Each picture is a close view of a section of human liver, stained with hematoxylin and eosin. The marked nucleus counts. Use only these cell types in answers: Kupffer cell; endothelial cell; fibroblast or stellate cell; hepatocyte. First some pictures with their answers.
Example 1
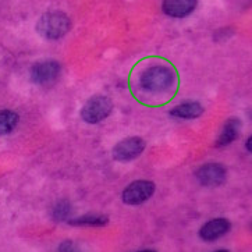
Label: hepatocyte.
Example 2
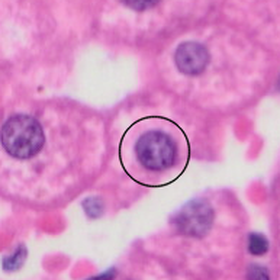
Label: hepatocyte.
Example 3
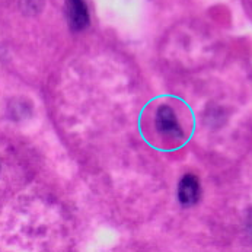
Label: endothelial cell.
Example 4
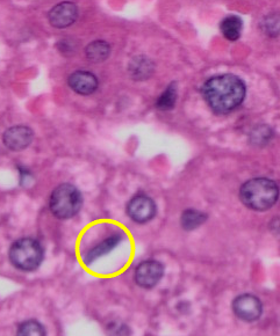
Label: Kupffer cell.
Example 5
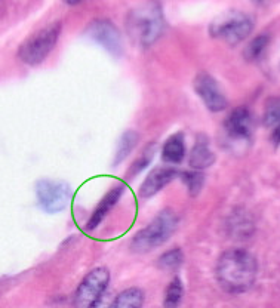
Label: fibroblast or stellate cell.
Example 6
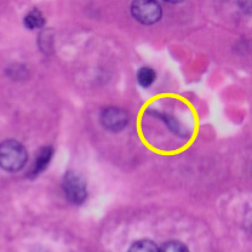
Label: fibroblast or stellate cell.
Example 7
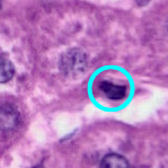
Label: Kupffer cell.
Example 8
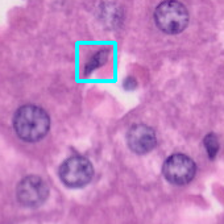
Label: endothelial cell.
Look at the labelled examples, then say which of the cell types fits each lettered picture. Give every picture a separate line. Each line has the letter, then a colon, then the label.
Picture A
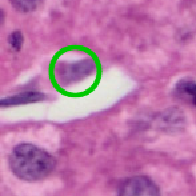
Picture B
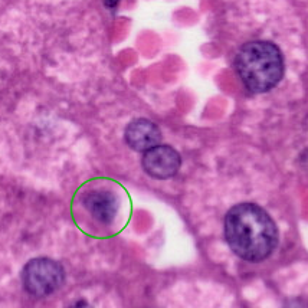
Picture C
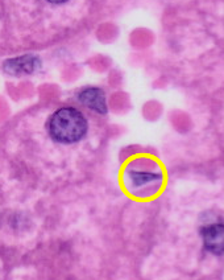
A: Kupffer cell.
B: endothelial cell.
C: endothelial cell.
